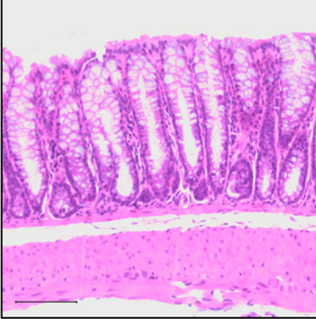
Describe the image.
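This is a section of colon wall with its mucosa, stained purple and pink. Long, straight tubular crypts stand side by side in a regular palisade, perpendicular to a smooth surface. They are lined by tall columnar cells with dark basal nuclei, among which many goblet cells show as pale, clear vacuoles. Thin strands of lamina propria separate the crypts. Below, a narrow pale gap separates the mucosa from a band of pink smooth muscle with elongated nuclei. The architecture is orderly, with no crowding of inflammatory cells and no loss of crypts.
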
